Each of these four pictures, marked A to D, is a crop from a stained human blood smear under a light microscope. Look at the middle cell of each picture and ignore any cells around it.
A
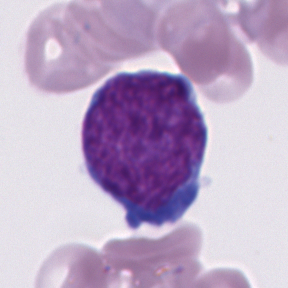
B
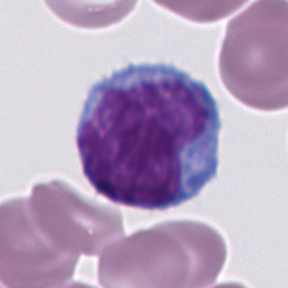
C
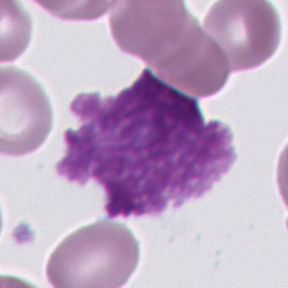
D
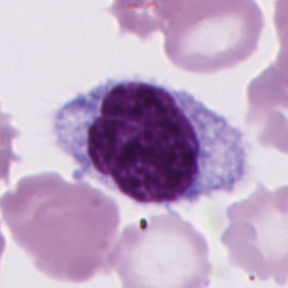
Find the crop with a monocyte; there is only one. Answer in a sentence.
Crop B is the one to choose: it shows a monocyte.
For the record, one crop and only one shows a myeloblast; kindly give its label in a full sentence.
In this set, crop A is the one showing a myeloblast.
